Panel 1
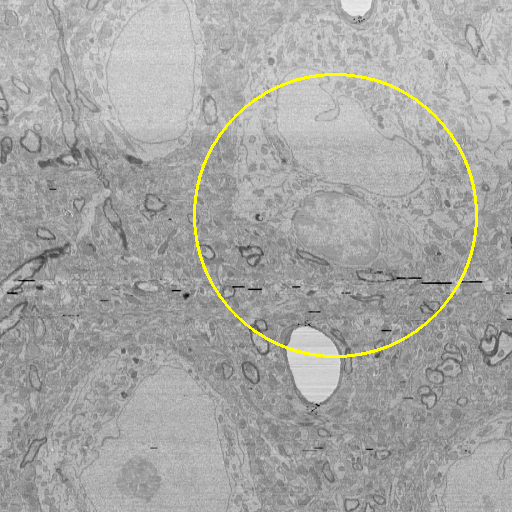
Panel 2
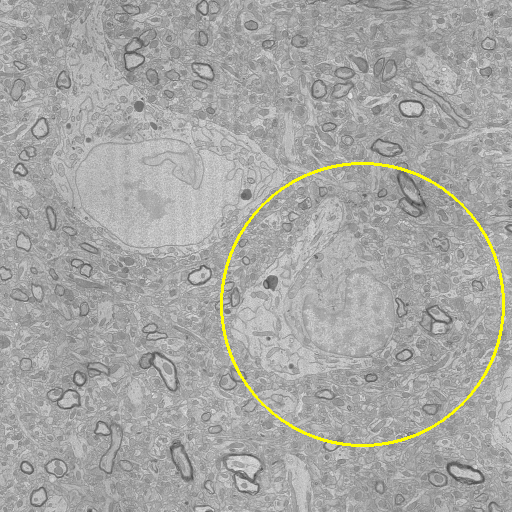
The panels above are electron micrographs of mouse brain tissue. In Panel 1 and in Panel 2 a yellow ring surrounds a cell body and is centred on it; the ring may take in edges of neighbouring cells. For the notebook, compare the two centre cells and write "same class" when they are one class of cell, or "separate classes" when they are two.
same class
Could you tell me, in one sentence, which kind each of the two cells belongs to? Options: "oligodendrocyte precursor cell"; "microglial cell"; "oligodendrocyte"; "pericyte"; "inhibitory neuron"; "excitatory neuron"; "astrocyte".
Each of the two pictures has an oligodendrocyte at the ring centre.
